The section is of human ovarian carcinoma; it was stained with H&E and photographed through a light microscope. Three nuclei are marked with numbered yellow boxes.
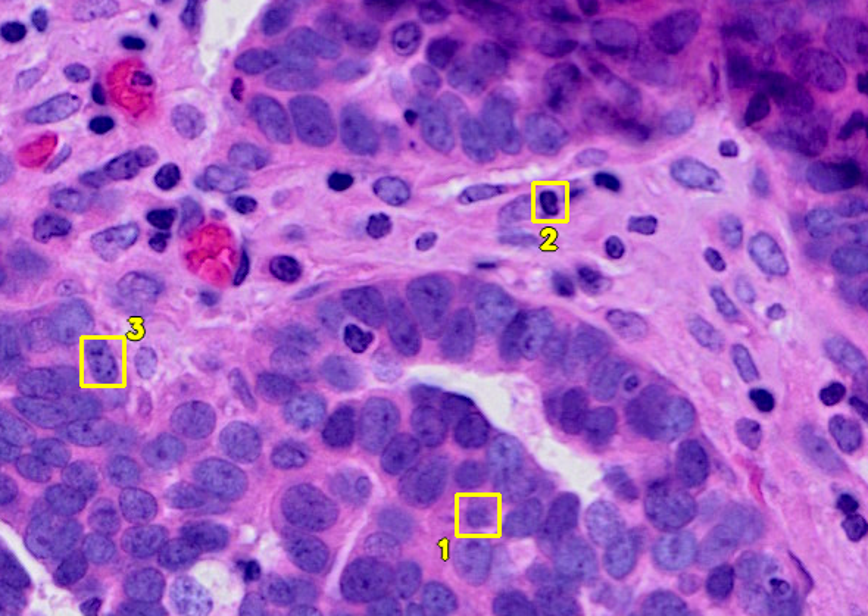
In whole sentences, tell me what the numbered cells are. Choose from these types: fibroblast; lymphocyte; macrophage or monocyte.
Cell 1 is a macrophage or monocyte, cell 2 is a lymphocyte and cell 3 is a macrophage or monocyte.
